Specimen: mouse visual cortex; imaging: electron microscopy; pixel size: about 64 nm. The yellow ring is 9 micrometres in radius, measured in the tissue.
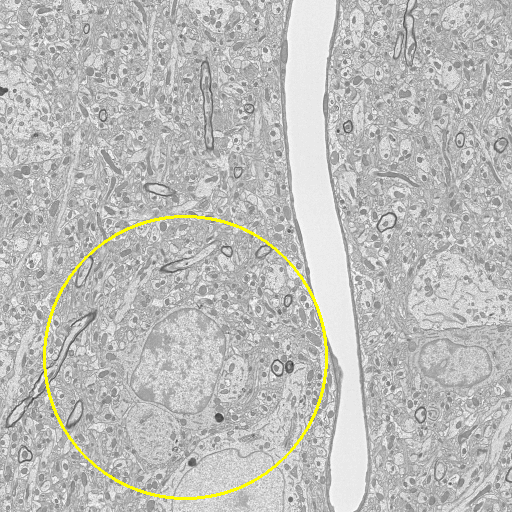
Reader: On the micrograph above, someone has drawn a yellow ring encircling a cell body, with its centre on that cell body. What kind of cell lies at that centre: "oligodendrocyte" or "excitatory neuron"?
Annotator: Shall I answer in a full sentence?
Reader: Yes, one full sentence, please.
Here an oligodendrocyte sits at the centre of the yellow ring drawn on the micrograph.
